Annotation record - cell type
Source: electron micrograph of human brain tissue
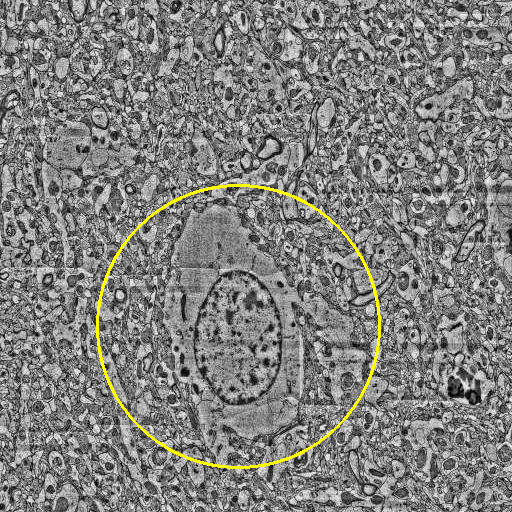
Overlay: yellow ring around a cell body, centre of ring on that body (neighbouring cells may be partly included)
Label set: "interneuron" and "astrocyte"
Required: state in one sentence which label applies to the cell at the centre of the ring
This cell should be labelled as an astrocyte.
